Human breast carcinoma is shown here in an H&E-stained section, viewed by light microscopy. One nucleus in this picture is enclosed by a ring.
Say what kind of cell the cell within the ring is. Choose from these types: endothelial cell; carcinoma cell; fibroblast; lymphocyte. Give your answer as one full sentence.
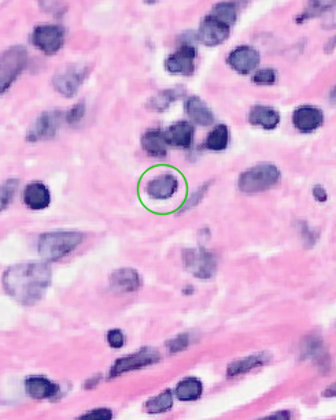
For the purposes of cell typing, the cell within the ring is categorized as a lymphocyte.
